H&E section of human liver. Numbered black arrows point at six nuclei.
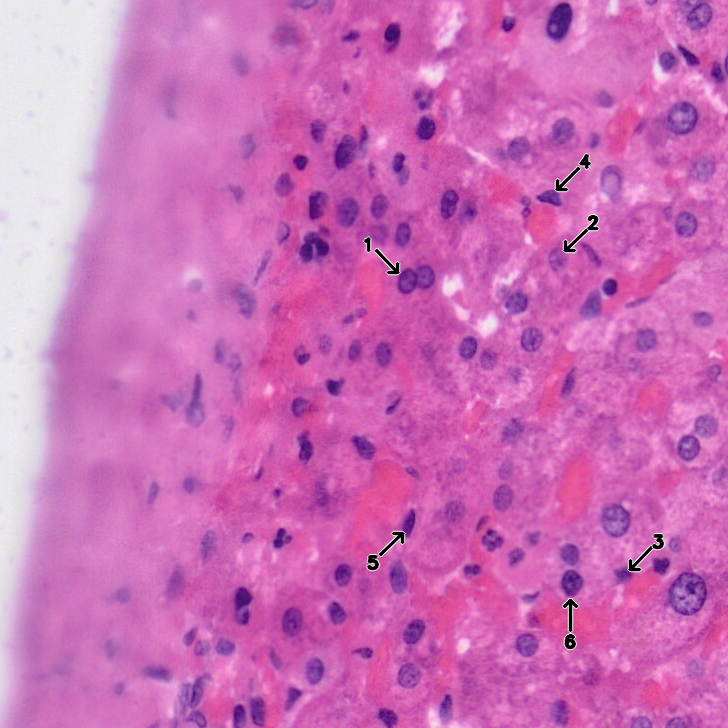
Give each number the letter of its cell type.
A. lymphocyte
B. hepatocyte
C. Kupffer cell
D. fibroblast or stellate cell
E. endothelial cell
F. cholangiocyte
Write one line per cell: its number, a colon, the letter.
1: B
2: B
3: D
4: D
5: D
6: B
